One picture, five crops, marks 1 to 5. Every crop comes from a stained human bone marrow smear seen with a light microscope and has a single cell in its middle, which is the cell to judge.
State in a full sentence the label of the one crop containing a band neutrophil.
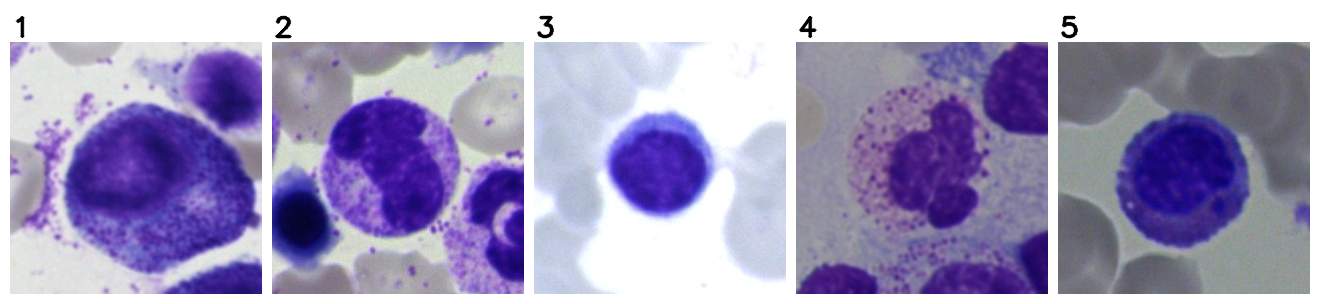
It is in crop 2 that a band neutrophil is shown.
